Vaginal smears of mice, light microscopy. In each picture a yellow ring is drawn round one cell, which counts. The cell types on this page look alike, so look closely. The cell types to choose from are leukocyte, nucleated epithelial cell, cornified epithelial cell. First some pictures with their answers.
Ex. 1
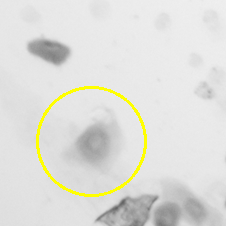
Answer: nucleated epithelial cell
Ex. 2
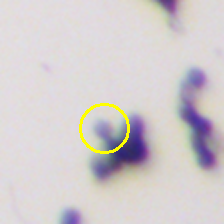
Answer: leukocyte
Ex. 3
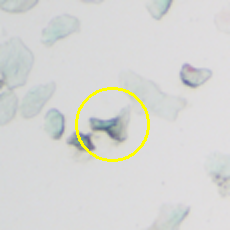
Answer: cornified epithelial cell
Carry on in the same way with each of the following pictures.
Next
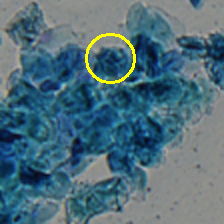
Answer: cornified epithelial cell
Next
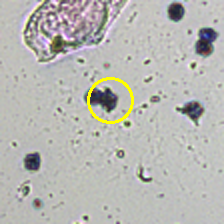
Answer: leukocyte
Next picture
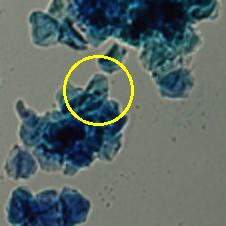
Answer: cornified epithelial cell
